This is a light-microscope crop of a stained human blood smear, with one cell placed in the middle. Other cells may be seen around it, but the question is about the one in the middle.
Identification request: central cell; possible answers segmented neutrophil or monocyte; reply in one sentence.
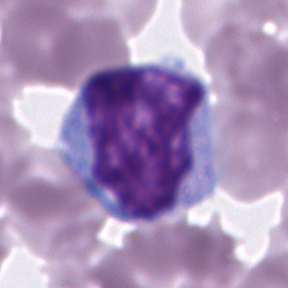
In the middle of this smear crop, the cell is a monocyte.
